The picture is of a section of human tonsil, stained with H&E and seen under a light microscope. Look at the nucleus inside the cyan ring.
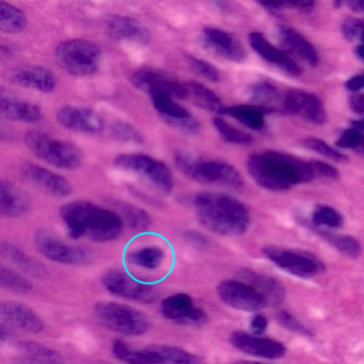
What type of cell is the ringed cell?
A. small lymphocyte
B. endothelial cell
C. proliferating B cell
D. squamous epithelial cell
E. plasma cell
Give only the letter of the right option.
D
